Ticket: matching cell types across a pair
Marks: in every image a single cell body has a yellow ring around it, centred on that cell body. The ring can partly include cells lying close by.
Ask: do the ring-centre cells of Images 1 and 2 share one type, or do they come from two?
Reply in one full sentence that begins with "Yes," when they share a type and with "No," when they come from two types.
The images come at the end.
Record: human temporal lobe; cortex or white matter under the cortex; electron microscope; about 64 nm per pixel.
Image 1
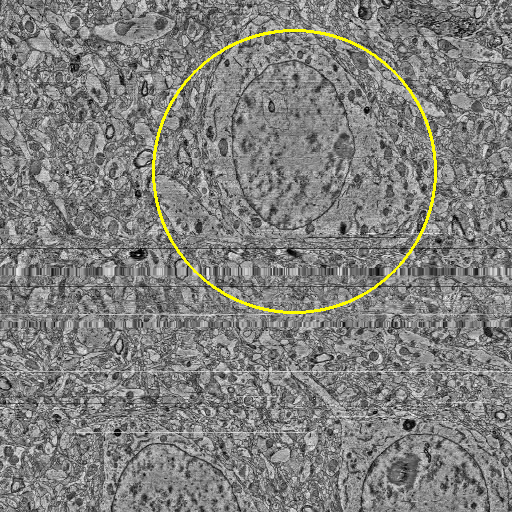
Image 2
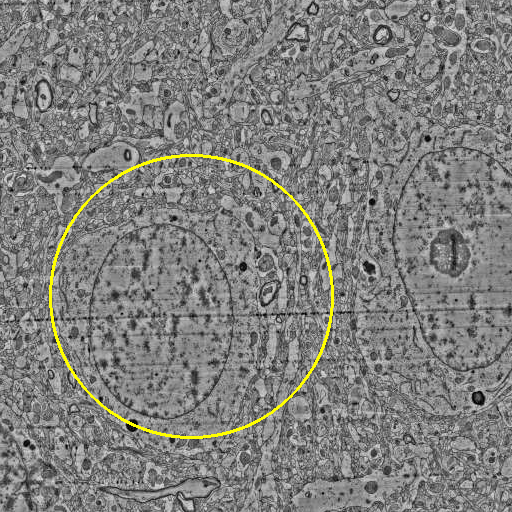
Yes, the cells in the centres of the rings in Image 1 and Image 2 share one type.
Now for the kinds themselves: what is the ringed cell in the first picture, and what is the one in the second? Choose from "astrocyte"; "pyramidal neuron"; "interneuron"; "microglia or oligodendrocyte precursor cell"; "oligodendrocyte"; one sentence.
The cell in the first picture is a pyramidal neuron, and so is the one in the second.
